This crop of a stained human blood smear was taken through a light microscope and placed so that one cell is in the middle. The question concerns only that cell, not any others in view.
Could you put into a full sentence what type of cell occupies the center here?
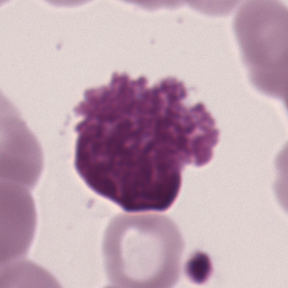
The cell of interest, in the center, is a smudge cell.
